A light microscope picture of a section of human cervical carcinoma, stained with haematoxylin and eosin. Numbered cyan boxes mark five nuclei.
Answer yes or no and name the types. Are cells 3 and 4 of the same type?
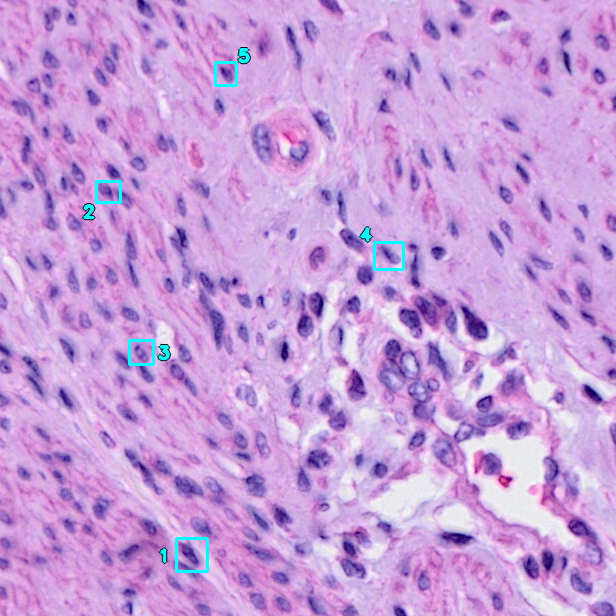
No, cell 3 is a smooth muscle cell and cell 4 is a fibroblast.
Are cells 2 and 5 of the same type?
Yes, both are smooth muscle cells.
